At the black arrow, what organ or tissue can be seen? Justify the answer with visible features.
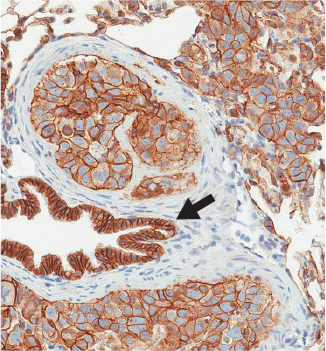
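Bronchial epithelium. The arrow points to a folded lining of tall columnar cells around an airway lumen. The lining is strongly brown along the cell borders.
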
